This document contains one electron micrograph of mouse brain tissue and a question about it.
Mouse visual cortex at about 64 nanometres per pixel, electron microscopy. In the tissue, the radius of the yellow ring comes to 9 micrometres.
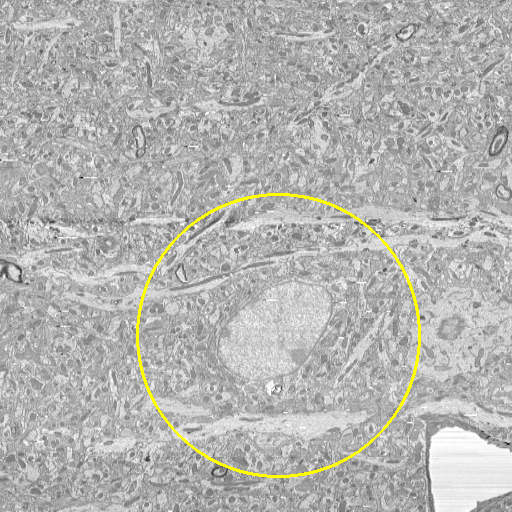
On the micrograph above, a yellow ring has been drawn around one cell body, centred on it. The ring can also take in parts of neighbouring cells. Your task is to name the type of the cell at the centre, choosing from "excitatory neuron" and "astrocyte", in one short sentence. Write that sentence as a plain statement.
Here the ring is centred on an astrocyte.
